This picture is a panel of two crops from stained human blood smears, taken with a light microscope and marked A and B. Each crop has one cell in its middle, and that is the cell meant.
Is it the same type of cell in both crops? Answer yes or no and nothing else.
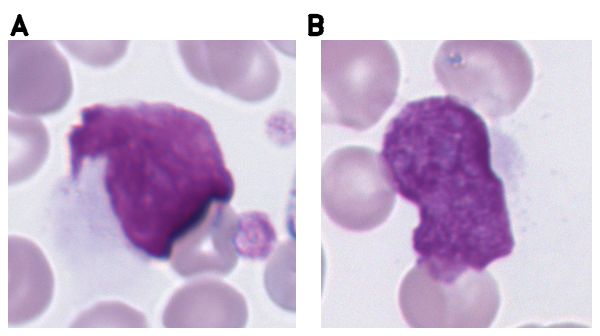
yes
